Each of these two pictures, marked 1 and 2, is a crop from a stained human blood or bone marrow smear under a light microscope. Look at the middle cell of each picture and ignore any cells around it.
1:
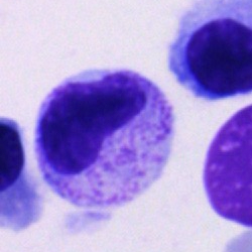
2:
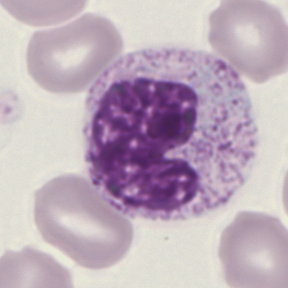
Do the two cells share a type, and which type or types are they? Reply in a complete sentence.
Yes, both crops depict metamyelocytes at the centre.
